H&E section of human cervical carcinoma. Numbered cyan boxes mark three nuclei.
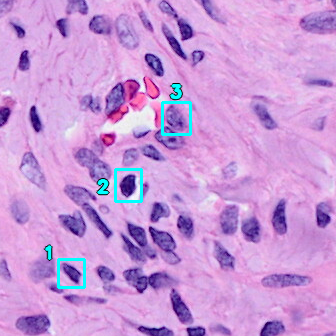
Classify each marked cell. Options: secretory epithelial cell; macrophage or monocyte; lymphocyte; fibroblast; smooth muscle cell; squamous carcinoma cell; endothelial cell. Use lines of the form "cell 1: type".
cell 1: fibroblast
cell 2: lymphocyte
cell 3: endothelial cell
